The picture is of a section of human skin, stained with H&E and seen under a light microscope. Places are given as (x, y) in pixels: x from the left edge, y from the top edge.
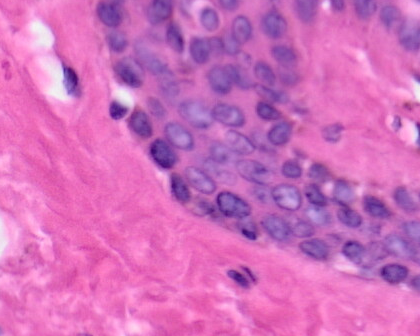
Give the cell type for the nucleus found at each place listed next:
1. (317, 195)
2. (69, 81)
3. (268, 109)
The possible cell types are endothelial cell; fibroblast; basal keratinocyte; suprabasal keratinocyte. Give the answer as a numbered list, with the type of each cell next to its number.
1. basal keratinocyte
2. fibroblast
3. basal keratinocyte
